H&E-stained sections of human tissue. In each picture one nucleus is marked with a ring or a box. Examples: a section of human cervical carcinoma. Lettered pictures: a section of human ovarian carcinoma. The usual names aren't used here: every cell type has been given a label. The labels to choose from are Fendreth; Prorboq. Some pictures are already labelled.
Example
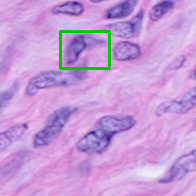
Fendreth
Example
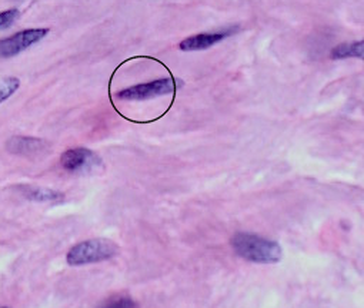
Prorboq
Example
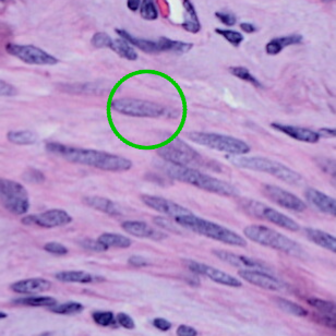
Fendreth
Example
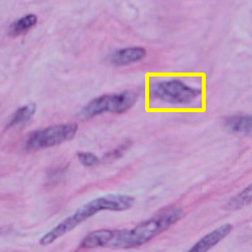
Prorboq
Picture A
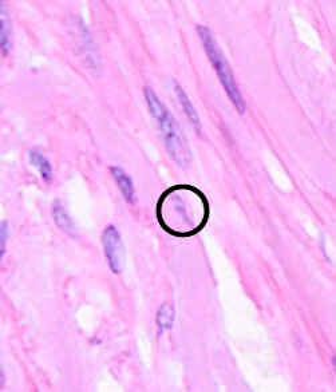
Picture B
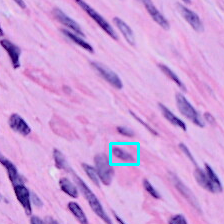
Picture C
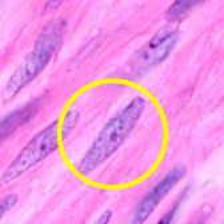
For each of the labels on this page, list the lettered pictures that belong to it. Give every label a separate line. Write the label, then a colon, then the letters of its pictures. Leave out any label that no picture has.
Fendreth: B, C
Prorboq: A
